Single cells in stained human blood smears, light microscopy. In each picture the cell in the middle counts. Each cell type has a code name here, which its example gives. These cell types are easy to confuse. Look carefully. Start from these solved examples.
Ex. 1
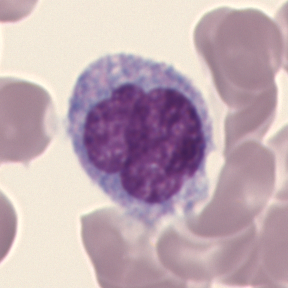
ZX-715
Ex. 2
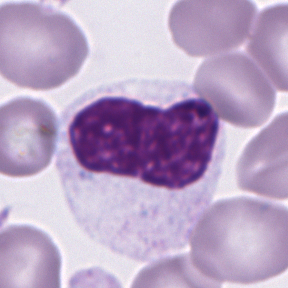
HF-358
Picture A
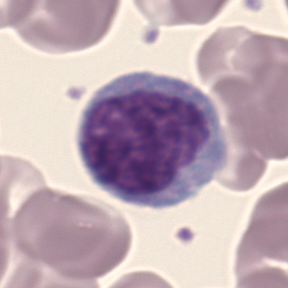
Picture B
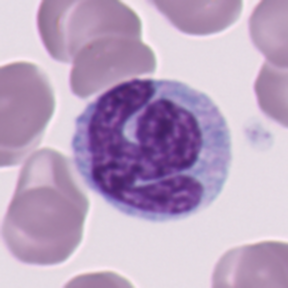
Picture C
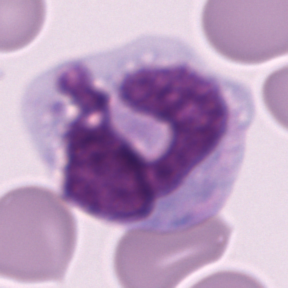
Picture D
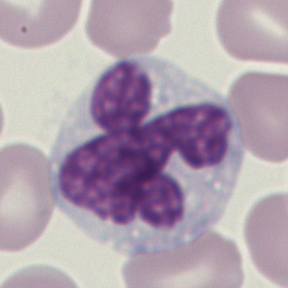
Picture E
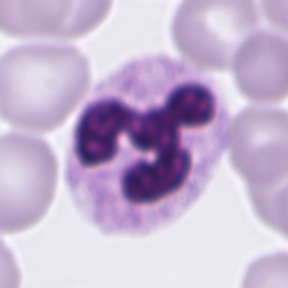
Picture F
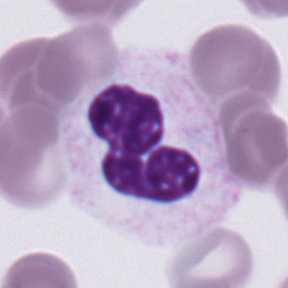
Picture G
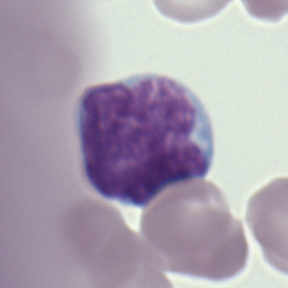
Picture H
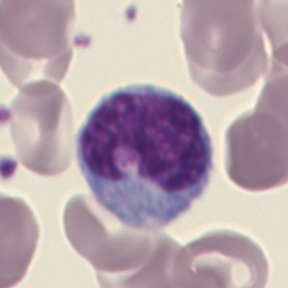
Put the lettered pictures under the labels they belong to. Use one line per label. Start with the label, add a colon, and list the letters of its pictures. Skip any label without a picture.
ZX-715: A, B, C, D, G, H
HF-358: E, F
